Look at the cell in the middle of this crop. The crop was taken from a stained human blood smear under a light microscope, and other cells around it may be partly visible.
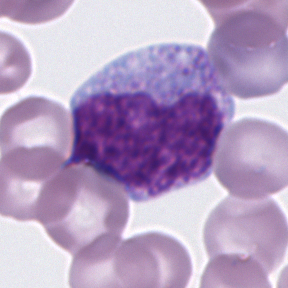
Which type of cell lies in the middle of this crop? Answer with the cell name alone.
myelocyte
